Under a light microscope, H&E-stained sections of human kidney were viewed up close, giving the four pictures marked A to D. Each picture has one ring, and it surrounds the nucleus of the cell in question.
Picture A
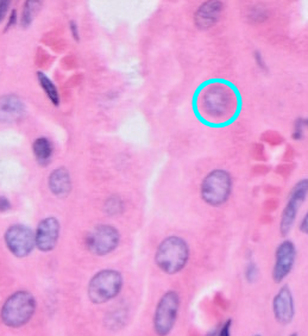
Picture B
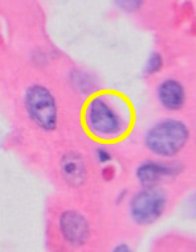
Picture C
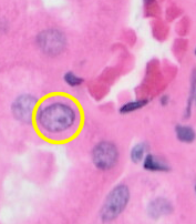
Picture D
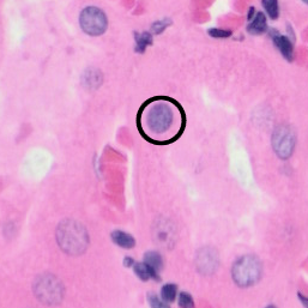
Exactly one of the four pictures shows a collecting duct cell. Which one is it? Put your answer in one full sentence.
The picture with the collecting duct cell is B.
